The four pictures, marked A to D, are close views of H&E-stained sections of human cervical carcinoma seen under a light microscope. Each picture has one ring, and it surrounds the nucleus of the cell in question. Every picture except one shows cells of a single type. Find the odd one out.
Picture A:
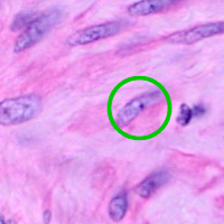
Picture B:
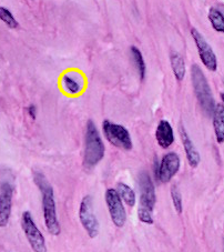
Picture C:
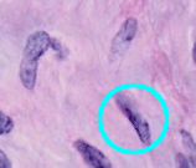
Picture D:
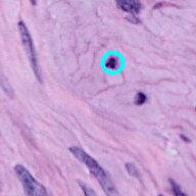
A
